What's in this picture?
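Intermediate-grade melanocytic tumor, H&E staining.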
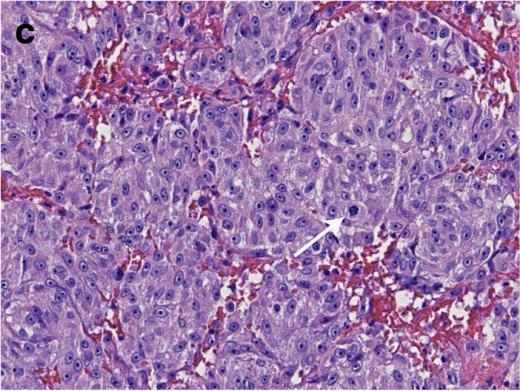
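This is a nested proliferation of epithelioid tumour cells. The cells are polygonal and have moderately abundant pale pinkish-purple cytoplasm with fairly distinct cell borders. Their nuclei are round to oval and each carries a prominent dark nucleolus. The cells are grouped into rounded nests separated by thin septa containing red blood cells. A mitotic figure with dark, condensed chromatin stands among the cells of one nest.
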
